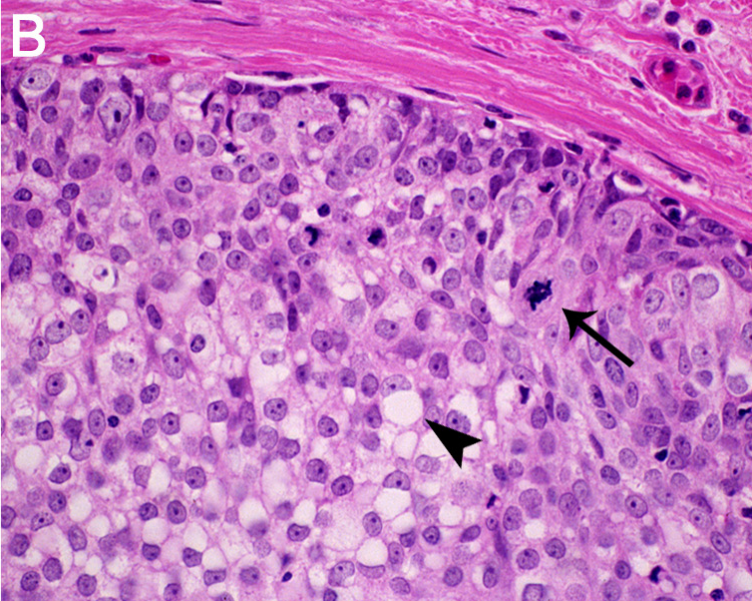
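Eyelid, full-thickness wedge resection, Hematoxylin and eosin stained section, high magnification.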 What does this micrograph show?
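A solid sheet of large tumor cells fills the field beneath a thin band of pink fibrous tissue at the top. The cells have round to oval nuclei, many with a distinct nucleolus, and moderately abundant pale pink cytoplasm. Many cells contain clear, round vacuoles, giving the cytoplasm a bubbly, foamy look, while cells near the upper edge are darker and less vacuolated. Scattered cells show dark, irregular clumps of condensed chromatin, atypical mitotic figures. Together this is a moderately differentiated sebaceous carcinoma with cytoplasmic lipid vacuoles.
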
